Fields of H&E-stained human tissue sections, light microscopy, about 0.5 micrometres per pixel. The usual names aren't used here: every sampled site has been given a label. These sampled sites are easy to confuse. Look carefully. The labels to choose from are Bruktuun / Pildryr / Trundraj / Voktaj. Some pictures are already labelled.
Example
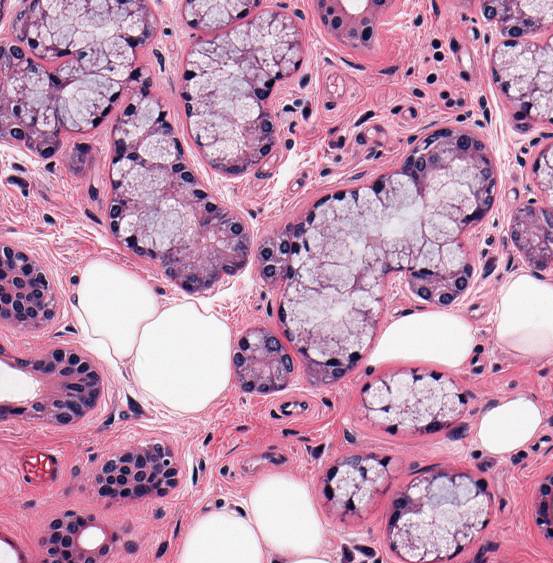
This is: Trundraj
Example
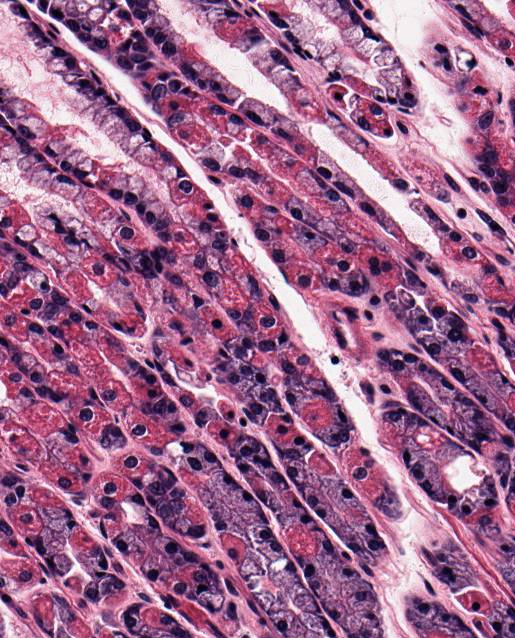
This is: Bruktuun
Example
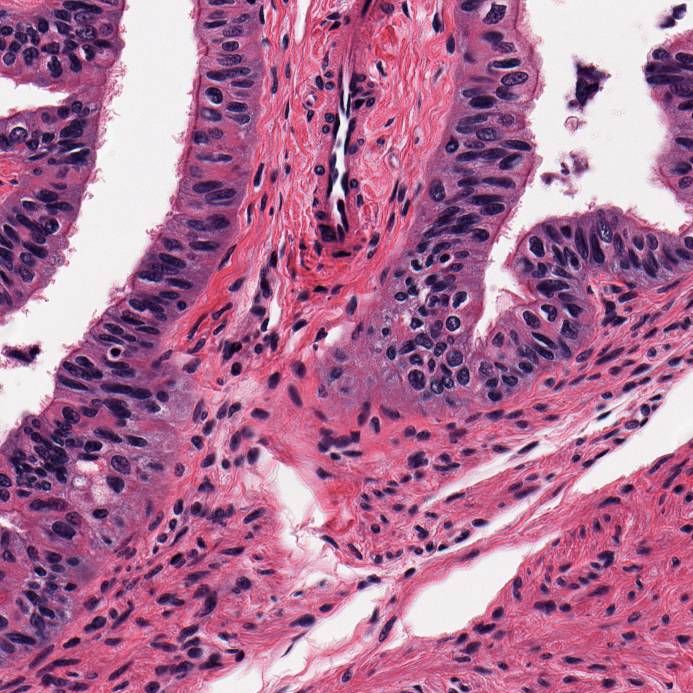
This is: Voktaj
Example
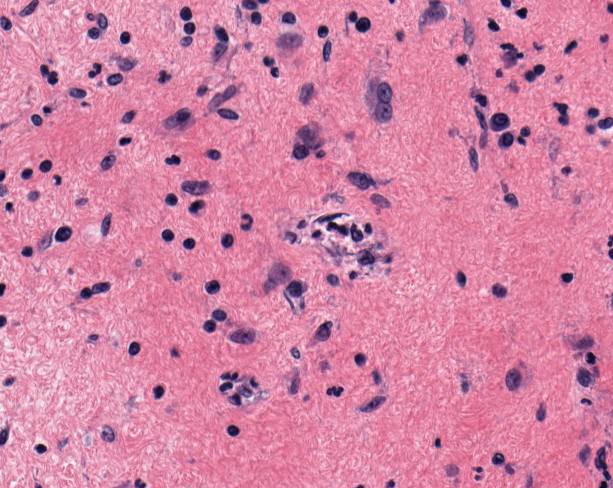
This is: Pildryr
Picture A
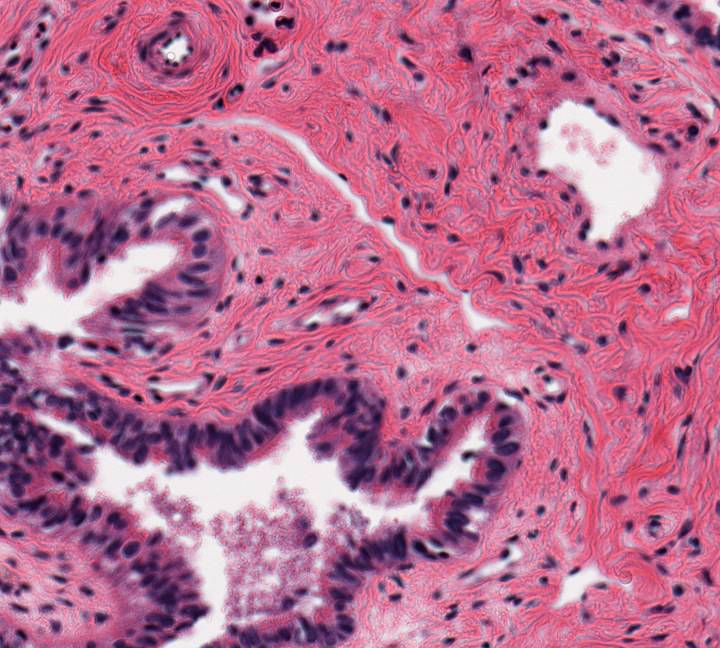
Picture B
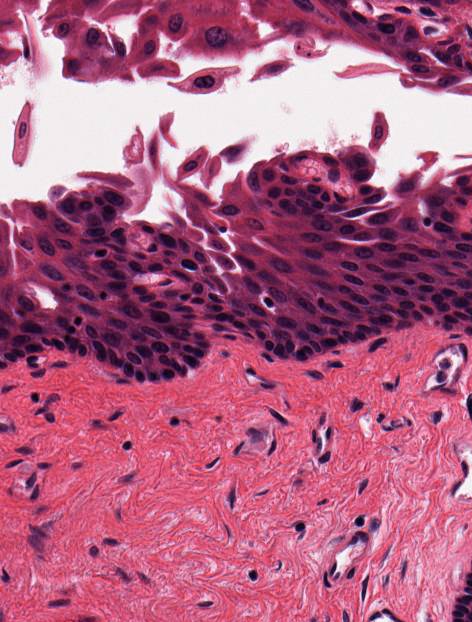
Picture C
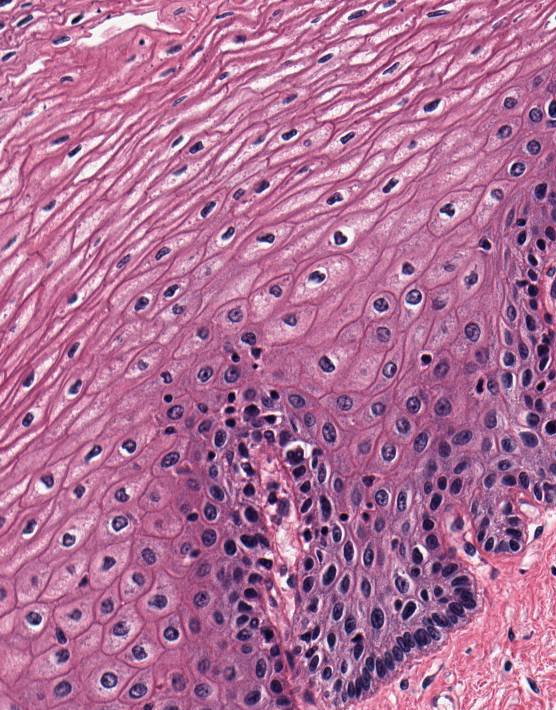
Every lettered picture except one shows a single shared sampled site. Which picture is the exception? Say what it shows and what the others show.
A differs and shows Voktaj; the others show Pildryr.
